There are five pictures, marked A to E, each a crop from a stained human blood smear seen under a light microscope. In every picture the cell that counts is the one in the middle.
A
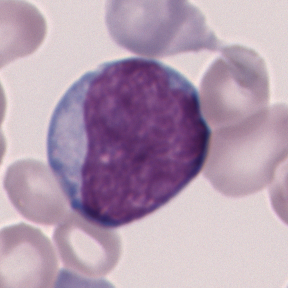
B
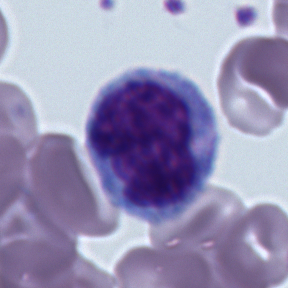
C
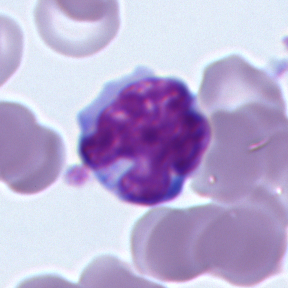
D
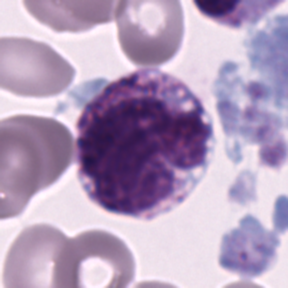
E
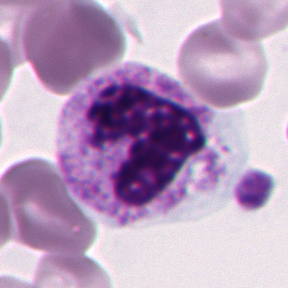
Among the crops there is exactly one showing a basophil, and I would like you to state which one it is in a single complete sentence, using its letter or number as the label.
The requested cell, a basophil, is the one in crop D.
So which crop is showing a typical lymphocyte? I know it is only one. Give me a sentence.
Crop C is the one to choose: it shows a typical lymphocyte.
